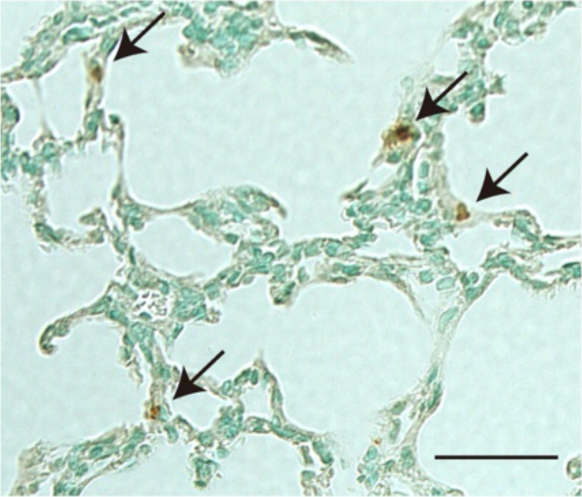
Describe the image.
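This is lung tissue, with thin alveolar walls outlining large empty air spaces. The walls are crowded with small oval nuclei stained blue-green, lying in a pale thin cytoplasm.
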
